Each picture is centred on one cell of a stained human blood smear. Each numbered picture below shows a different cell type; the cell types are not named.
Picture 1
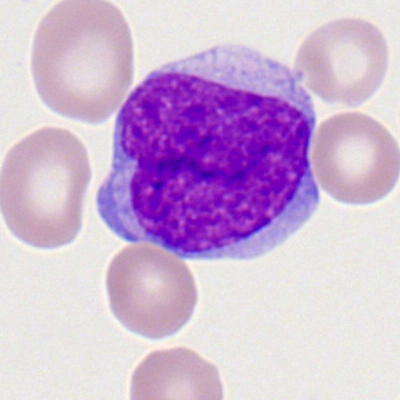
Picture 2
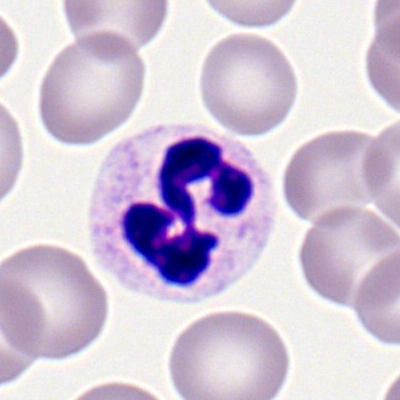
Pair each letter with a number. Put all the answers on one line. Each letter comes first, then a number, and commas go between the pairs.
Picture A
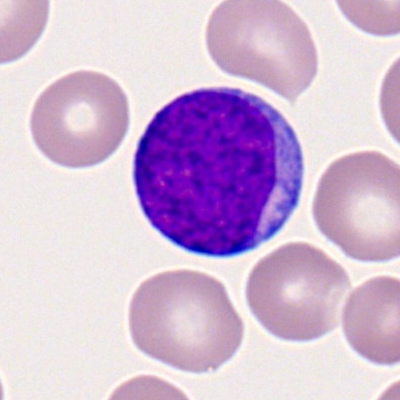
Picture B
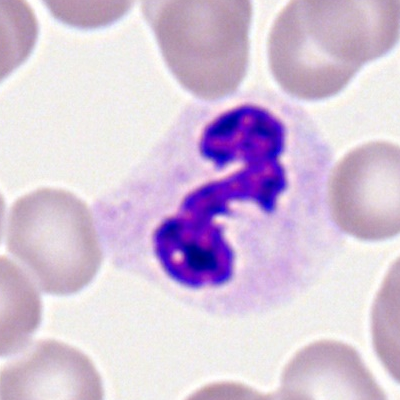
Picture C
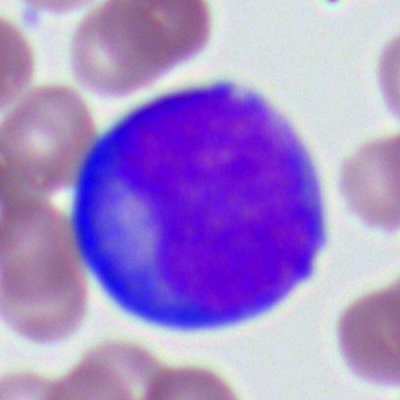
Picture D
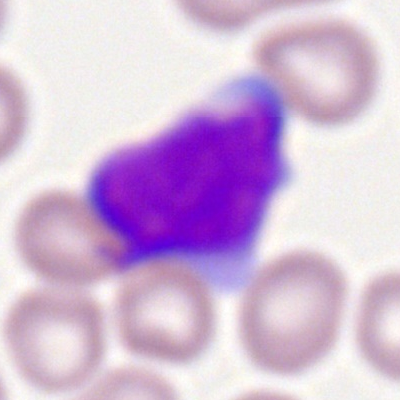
A 1, B 2, C 1, D 1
